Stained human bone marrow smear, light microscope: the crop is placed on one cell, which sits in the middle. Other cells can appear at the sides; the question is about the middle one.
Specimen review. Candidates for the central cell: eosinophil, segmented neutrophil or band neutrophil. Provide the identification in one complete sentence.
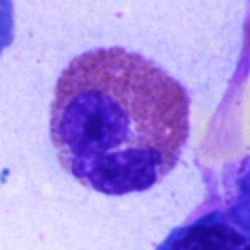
In short, the cell at the center is an eosinophil.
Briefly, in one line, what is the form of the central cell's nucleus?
The nucleus is segmented, with two or more lobes present.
